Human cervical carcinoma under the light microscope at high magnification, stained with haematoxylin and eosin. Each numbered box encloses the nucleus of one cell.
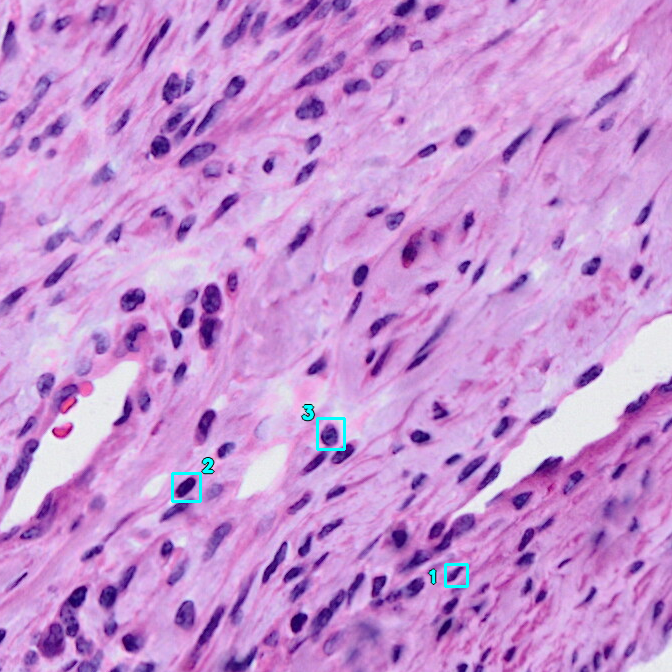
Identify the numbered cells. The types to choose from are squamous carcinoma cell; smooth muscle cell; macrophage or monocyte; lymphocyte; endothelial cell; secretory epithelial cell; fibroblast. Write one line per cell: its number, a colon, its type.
1: fibroblast
2: lymphocyte
3: lymphocyte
